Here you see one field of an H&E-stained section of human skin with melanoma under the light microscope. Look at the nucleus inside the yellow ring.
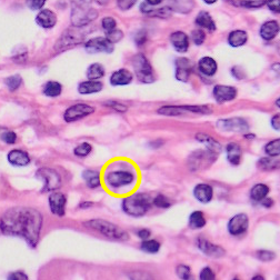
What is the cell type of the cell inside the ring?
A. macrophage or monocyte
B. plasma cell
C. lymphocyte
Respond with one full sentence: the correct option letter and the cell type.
Option C is the correct one: the cell inside the ring is a lymphocyte.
